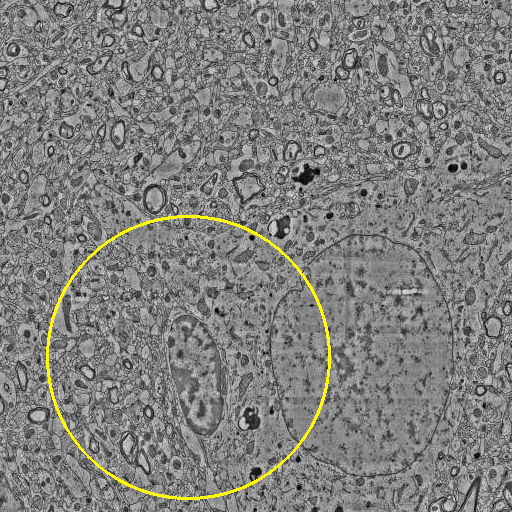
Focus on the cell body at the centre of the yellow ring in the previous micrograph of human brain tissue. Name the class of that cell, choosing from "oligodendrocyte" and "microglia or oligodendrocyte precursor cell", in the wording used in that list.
microglia or oligodendrocyte precursor cell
